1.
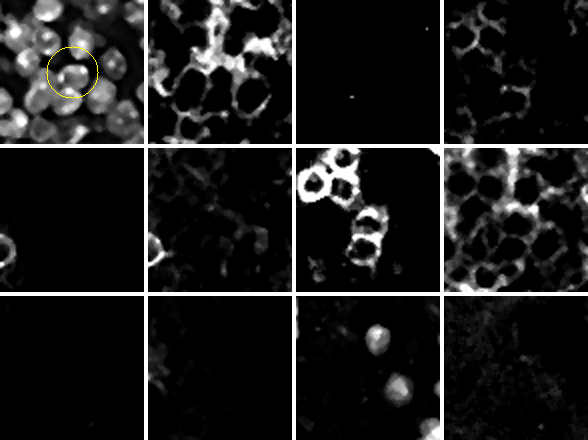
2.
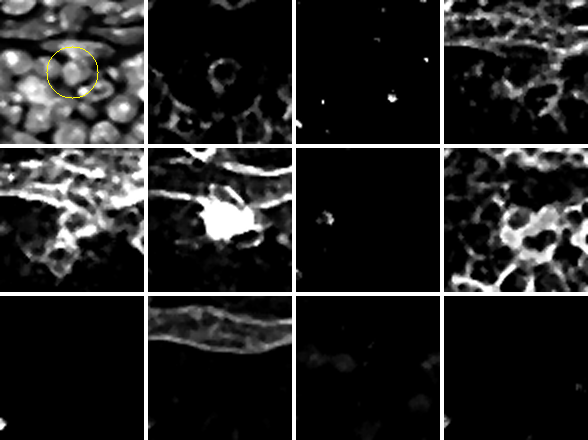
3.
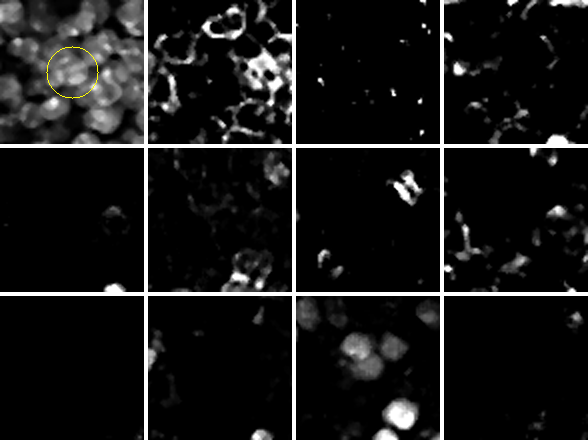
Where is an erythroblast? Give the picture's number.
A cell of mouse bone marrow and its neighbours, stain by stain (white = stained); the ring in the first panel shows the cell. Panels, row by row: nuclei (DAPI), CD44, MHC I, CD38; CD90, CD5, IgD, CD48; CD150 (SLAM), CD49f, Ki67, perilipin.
3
